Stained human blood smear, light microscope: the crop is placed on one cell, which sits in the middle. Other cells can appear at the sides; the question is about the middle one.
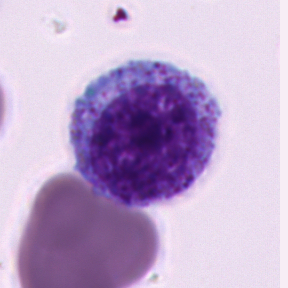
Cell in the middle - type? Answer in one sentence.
In this smear crop, the middle cell is a myelocyte.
